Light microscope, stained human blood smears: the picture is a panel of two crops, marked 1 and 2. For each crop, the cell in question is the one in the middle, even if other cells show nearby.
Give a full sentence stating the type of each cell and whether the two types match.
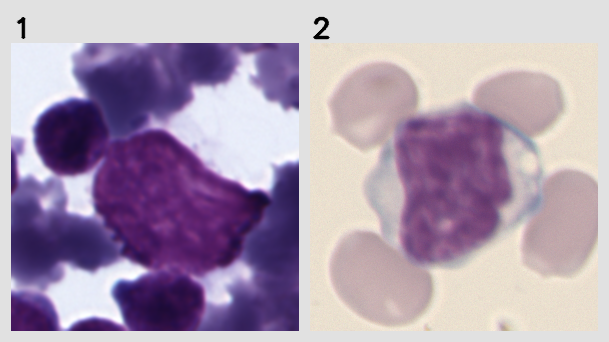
No, record crop 1 as a smudge cell and crop 2 as a myeloblast.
